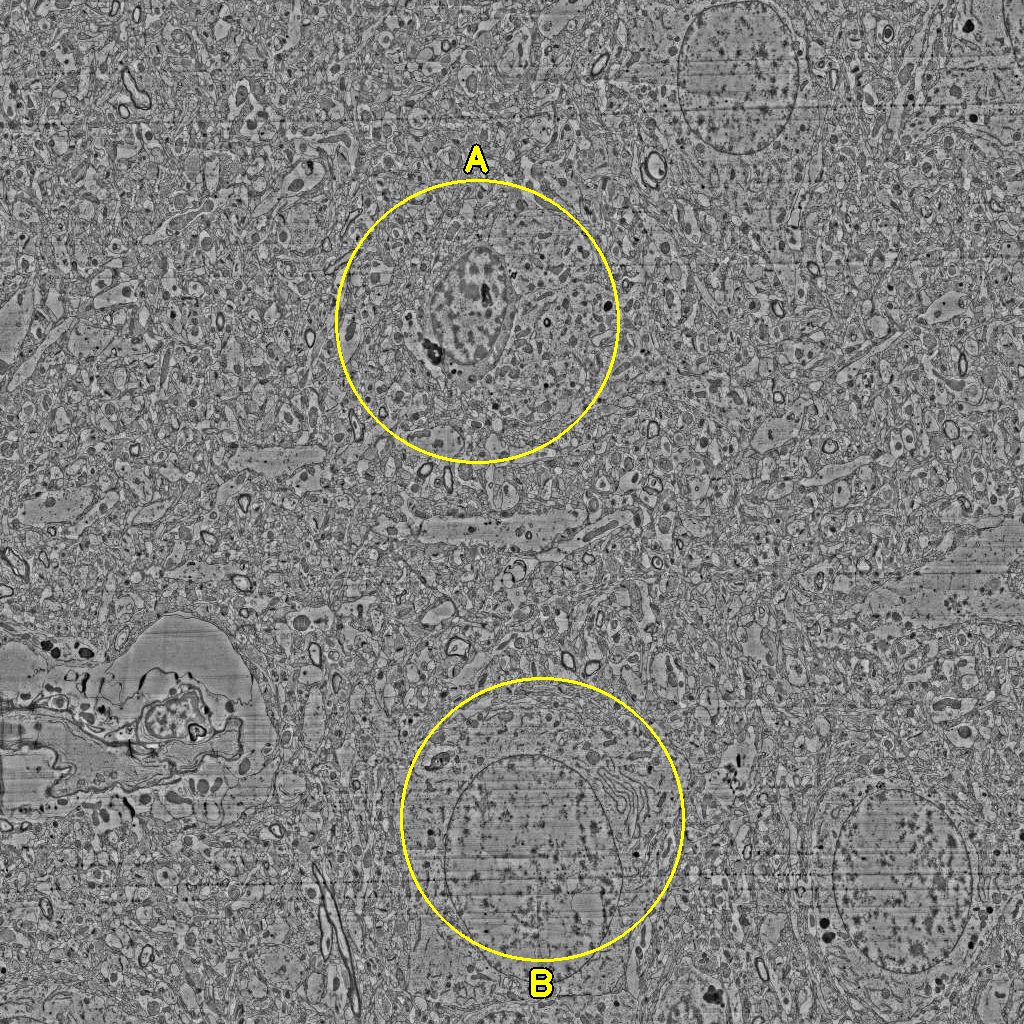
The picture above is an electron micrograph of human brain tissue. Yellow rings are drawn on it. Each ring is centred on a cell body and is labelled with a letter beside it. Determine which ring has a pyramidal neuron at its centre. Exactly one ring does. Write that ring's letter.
B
